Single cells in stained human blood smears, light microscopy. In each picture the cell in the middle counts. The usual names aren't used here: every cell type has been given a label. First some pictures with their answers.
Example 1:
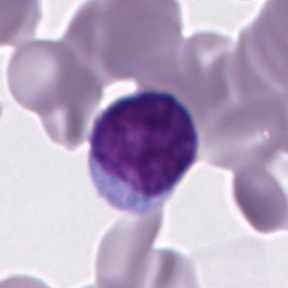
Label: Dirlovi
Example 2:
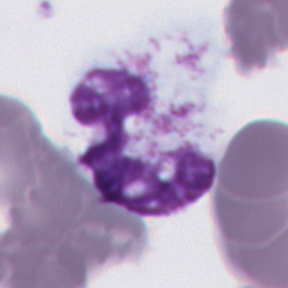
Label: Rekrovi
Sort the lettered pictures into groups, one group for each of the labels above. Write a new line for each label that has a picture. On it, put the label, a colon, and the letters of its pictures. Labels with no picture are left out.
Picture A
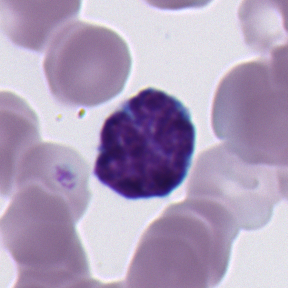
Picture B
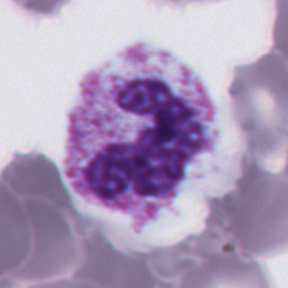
Dirlovi: A
Rekrovi: B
